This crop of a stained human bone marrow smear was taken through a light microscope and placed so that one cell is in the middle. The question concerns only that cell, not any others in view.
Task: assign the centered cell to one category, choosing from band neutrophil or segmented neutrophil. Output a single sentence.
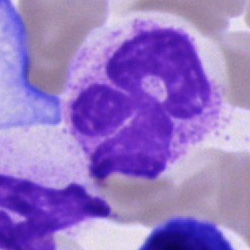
The cell the crop is centered on is a segmented neutrophil.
